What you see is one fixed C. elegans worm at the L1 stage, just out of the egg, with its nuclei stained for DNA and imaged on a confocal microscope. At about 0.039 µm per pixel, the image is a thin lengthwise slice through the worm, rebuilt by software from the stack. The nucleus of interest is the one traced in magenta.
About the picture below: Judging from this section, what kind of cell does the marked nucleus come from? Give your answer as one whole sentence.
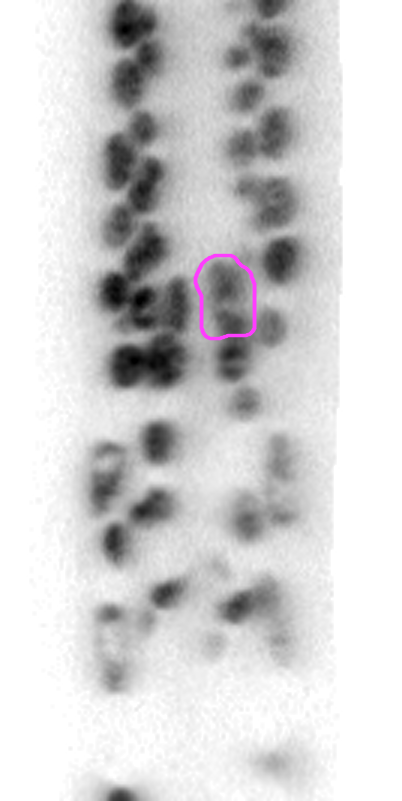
This nucleus is from a pharyngeal marginal cell.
